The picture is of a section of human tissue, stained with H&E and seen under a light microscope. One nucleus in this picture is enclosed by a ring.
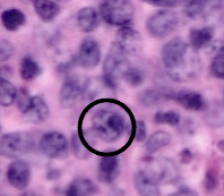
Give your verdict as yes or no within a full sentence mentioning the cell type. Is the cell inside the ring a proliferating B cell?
Yes, what the cell inside the ring represents in this tissue is a proliferating B cell.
